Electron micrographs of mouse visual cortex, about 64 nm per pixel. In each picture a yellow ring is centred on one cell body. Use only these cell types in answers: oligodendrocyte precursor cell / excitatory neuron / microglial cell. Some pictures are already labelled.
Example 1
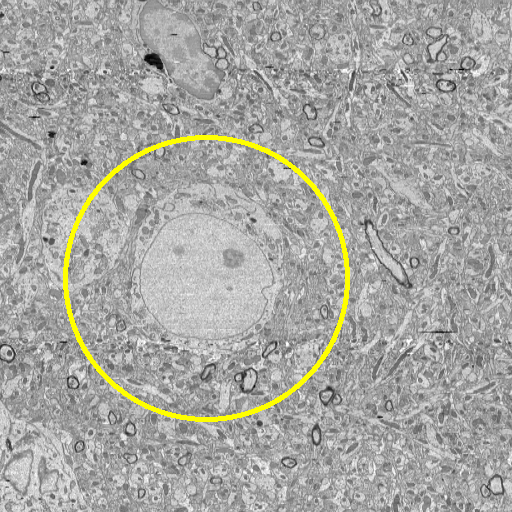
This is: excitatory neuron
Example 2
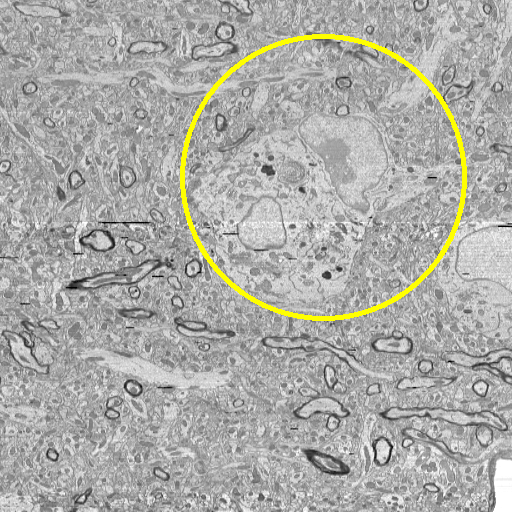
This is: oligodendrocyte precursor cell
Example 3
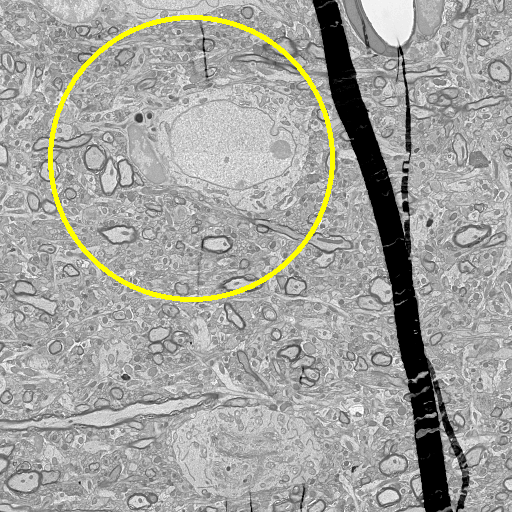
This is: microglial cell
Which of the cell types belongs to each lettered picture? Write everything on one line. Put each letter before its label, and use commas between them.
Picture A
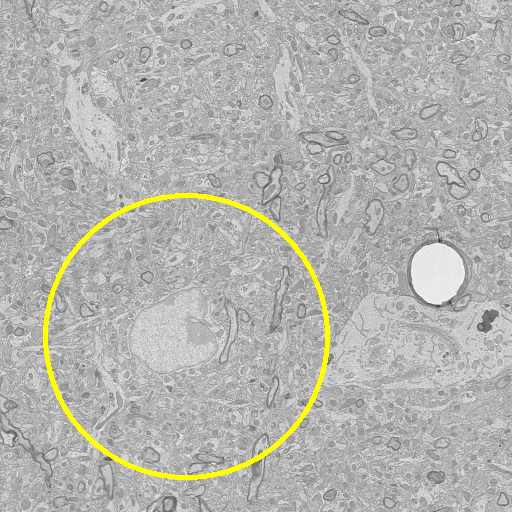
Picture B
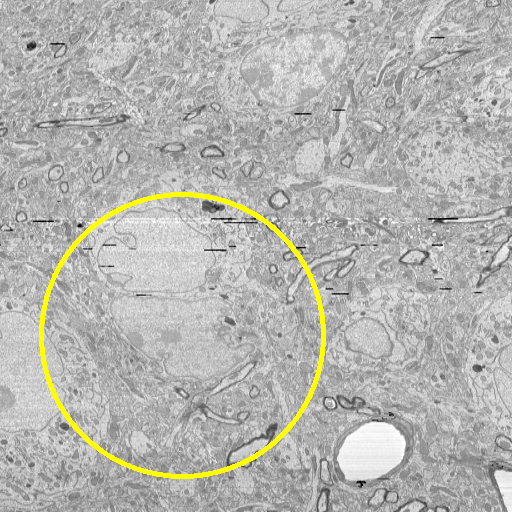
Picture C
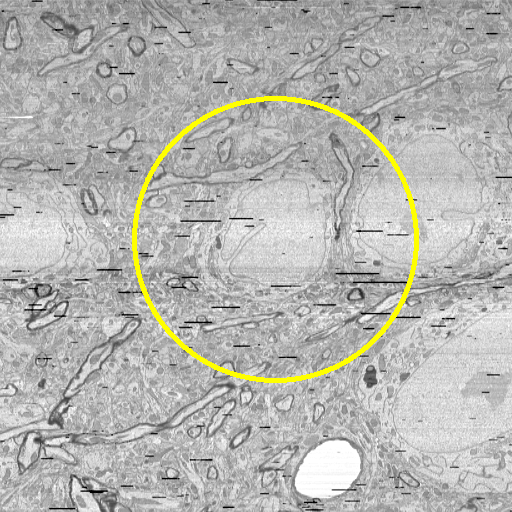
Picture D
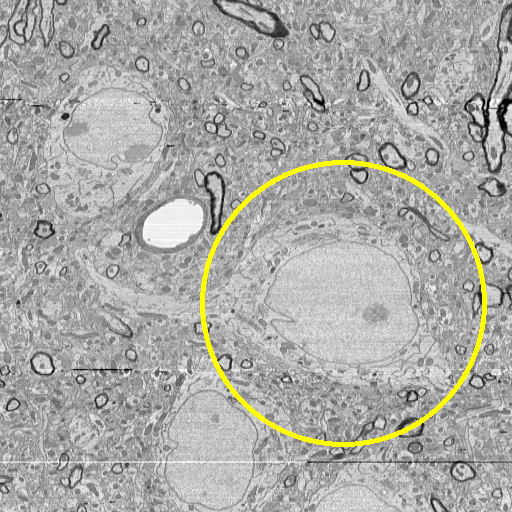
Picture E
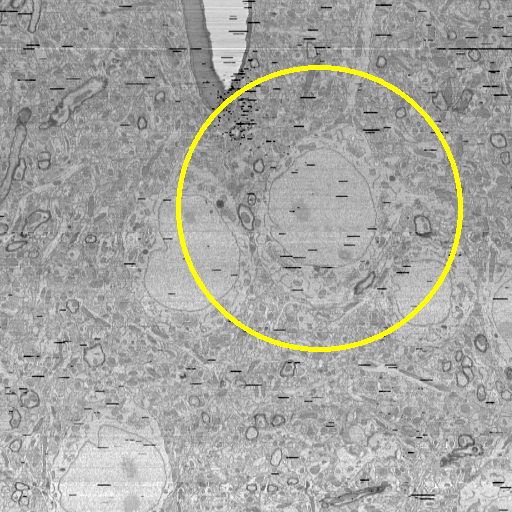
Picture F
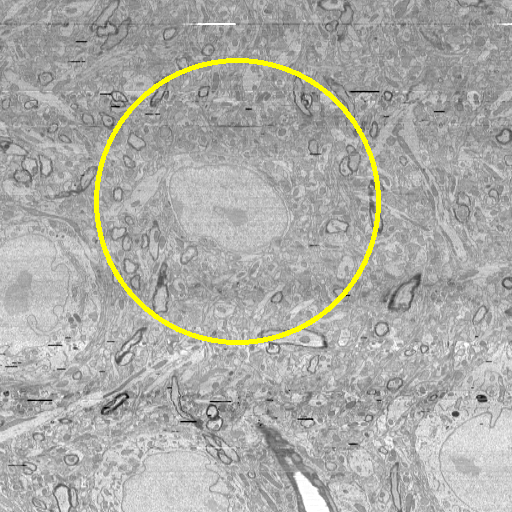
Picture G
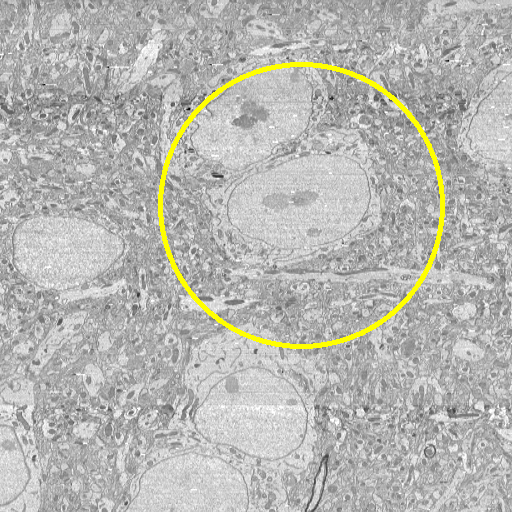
A oligodendrocyte precursor cell, B oligodendrocyte precursor cell, C excitatory neuron, D excitatory neuron, E excitatory neuron, F oligodendrocyte precursor cell, G excitatory neuron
